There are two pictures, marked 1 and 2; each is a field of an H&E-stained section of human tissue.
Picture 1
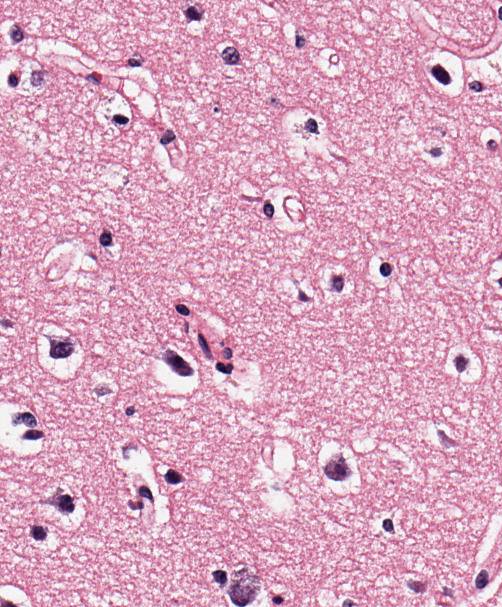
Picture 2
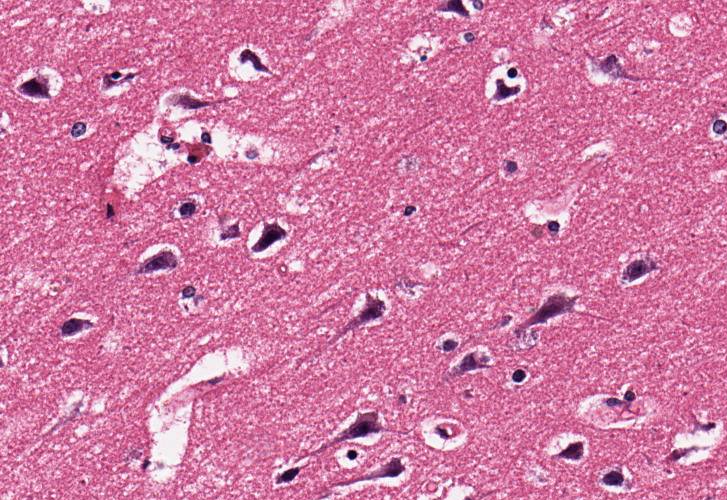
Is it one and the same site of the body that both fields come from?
yes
